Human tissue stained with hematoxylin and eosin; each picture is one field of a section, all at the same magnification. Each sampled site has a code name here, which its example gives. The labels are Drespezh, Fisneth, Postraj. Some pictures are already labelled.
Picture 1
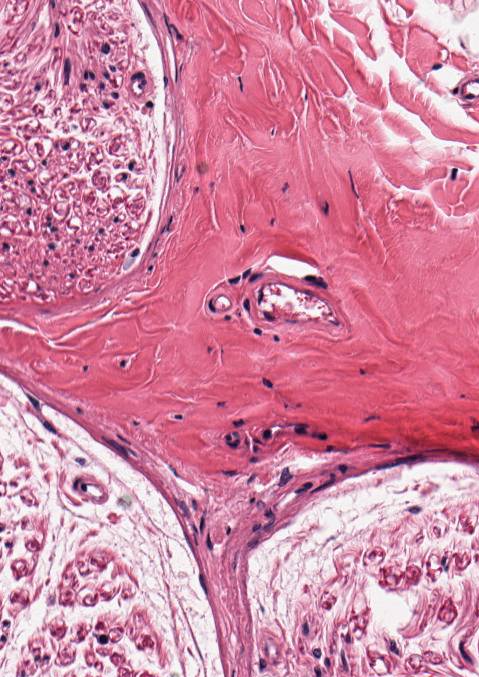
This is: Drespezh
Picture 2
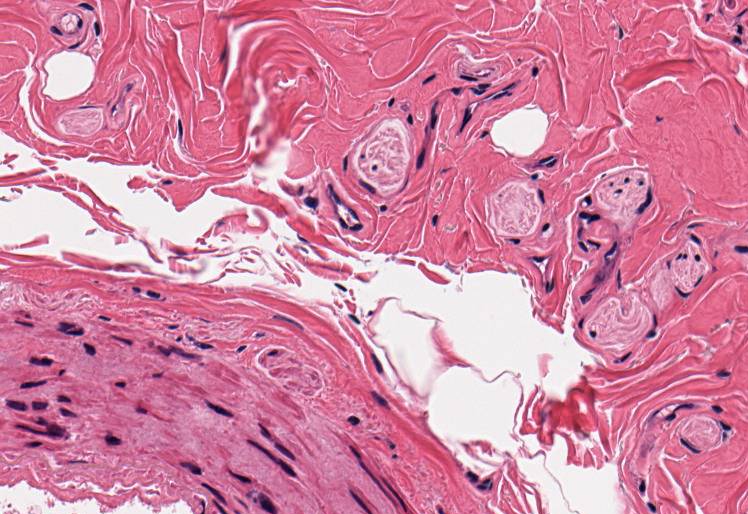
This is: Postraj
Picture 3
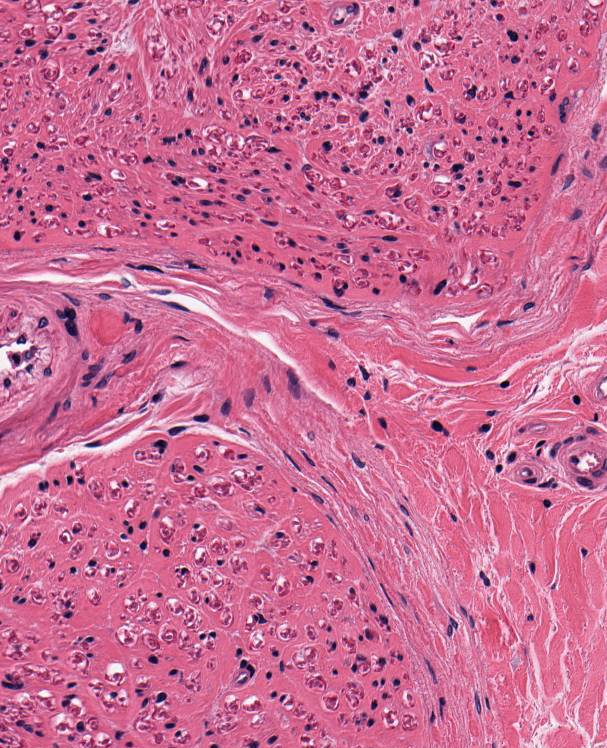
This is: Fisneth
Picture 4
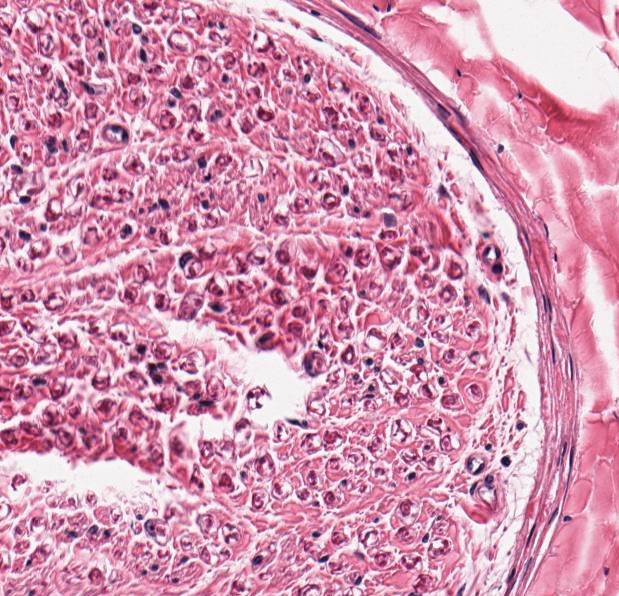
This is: Drespezh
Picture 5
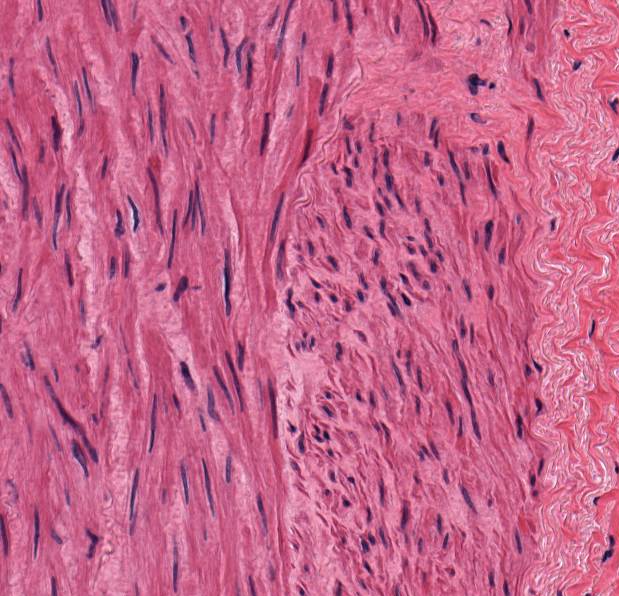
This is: Fisneth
